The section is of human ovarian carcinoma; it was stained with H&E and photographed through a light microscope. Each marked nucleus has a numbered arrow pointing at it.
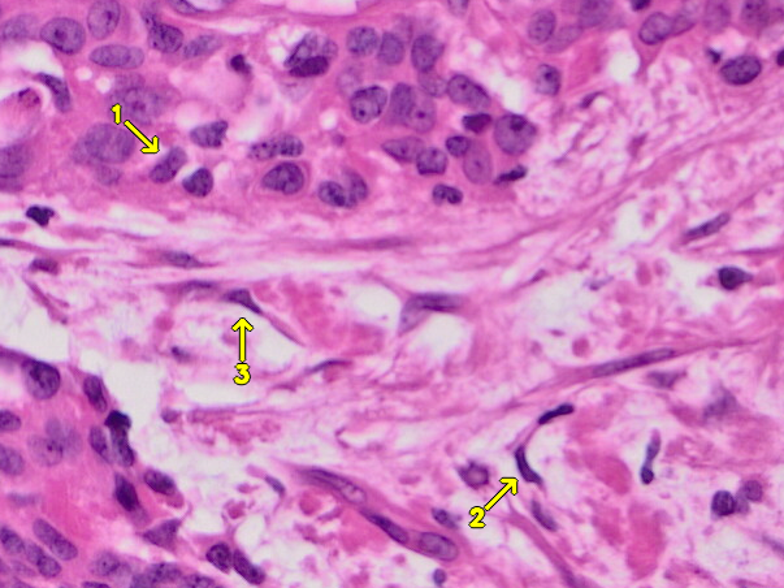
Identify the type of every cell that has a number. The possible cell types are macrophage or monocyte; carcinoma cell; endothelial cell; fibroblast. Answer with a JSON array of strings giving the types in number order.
["carcinoma cell", "fibroblast", "fibroblast"]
